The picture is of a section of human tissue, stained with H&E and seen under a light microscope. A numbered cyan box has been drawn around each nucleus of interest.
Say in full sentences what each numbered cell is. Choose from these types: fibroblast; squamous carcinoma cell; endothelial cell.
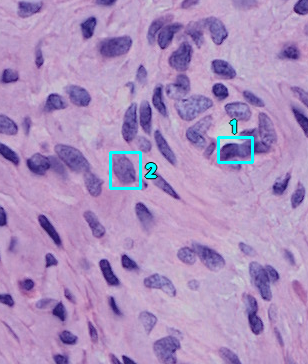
Cell 1 is an endothelial cell and cell 2 is a fibroblast.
